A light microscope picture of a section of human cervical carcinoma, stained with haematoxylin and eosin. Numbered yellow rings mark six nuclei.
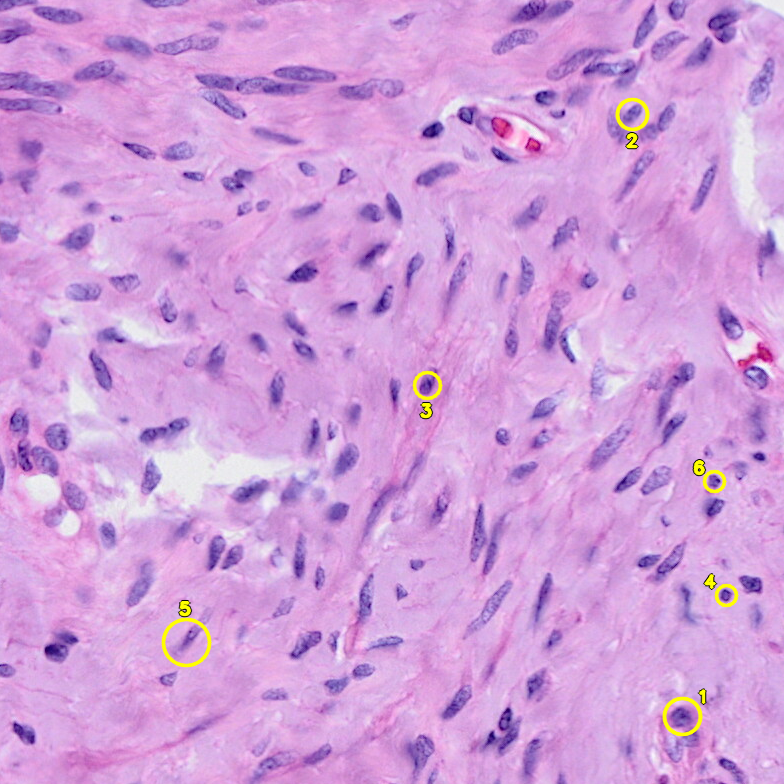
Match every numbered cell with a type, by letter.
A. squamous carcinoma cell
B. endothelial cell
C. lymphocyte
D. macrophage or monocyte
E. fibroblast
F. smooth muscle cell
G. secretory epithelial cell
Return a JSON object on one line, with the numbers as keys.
{"1": "B", "2": "E", "3": "F", "4": "E", "5": "E", "6": "E"}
